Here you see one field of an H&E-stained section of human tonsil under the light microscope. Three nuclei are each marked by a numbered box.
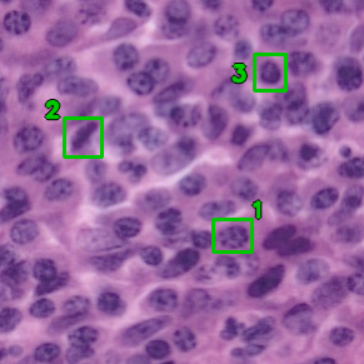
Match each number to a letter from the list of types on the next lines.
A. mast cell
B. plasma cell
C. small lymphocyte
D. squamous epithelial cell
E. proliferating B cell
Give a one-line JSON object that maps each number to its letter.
{"1": "B", "2": "D", "3": "B"}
